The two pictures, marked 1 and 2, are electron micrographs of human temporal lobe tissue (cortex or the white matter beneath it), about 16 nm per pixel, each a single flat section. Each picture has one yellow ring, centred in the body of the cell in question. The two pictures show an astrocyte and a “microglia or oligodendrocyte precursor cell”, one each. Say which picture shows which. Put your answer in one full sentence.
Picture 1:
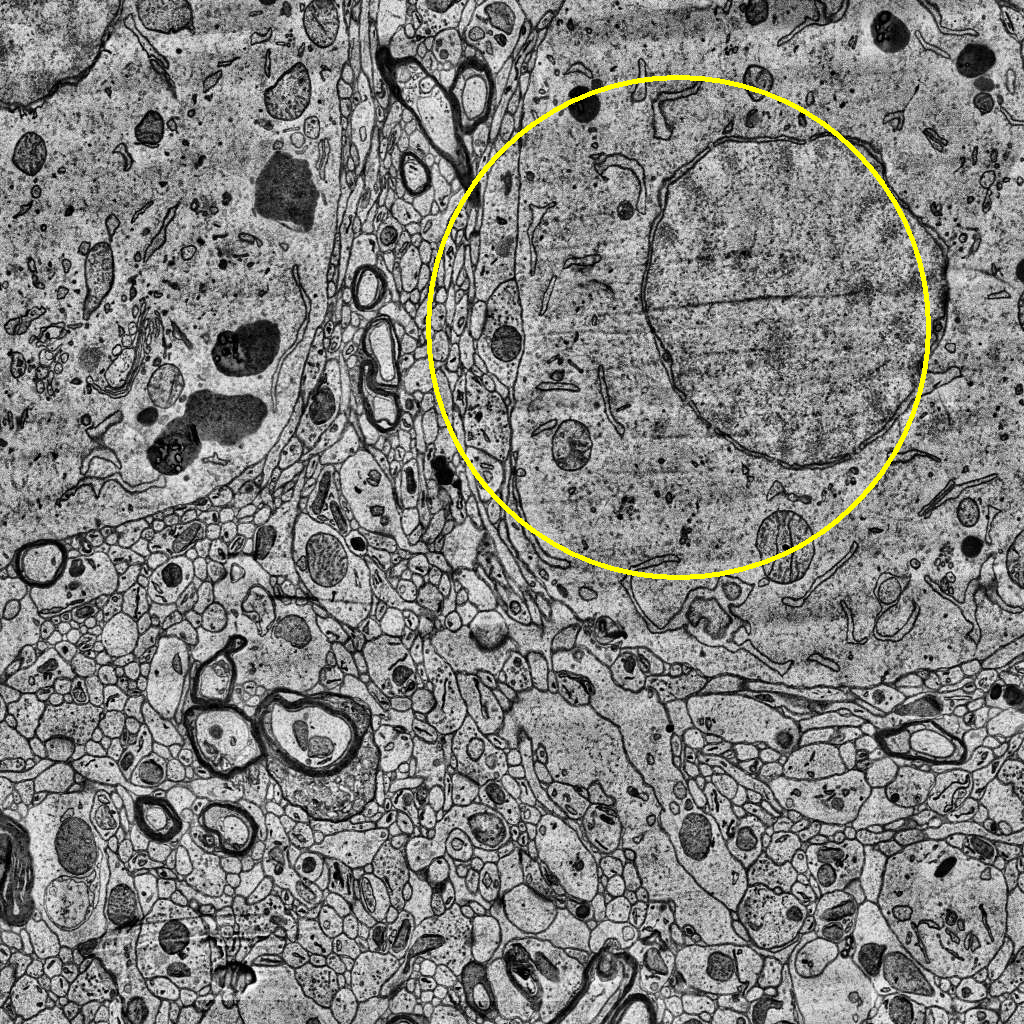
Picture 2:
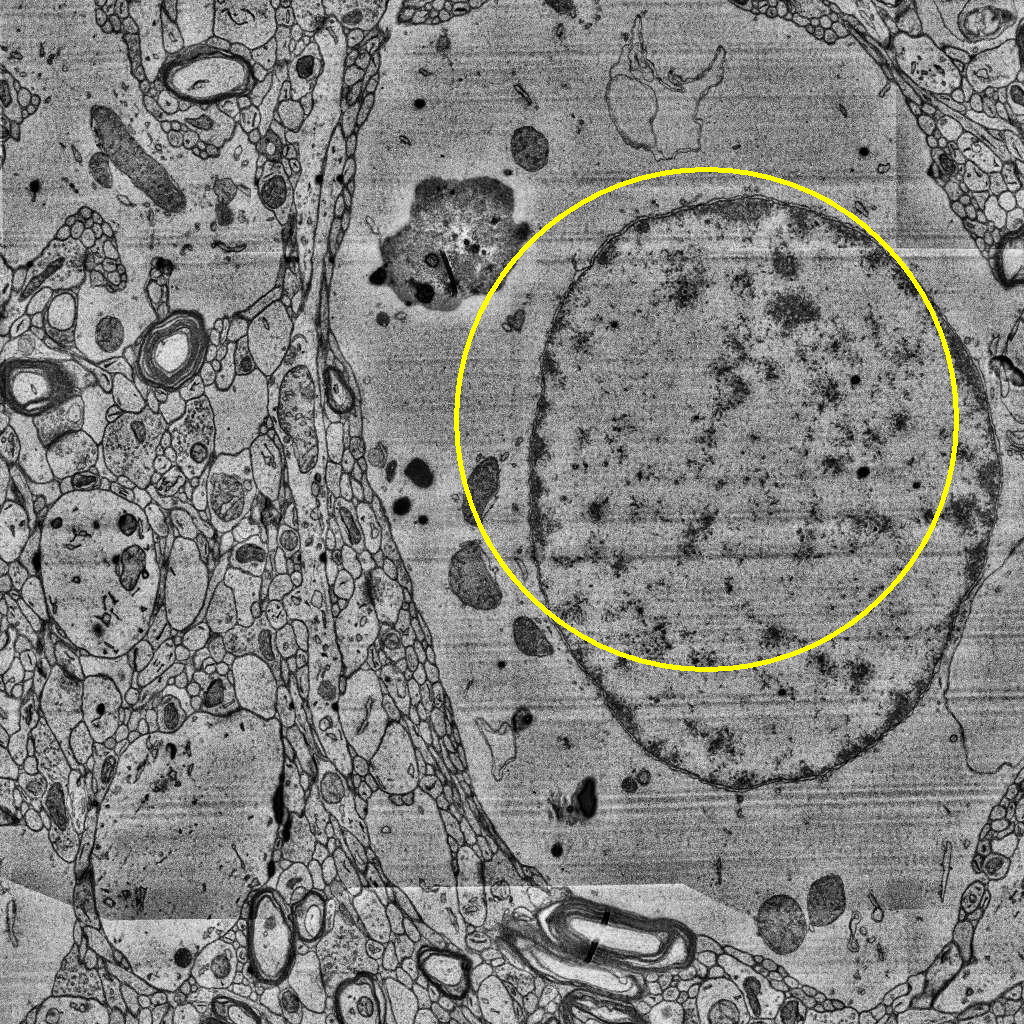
The cell in picture 1 is a “microglia or oligodendrocyte precursor cell”, and the one in picture 2 is an astrocyte.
